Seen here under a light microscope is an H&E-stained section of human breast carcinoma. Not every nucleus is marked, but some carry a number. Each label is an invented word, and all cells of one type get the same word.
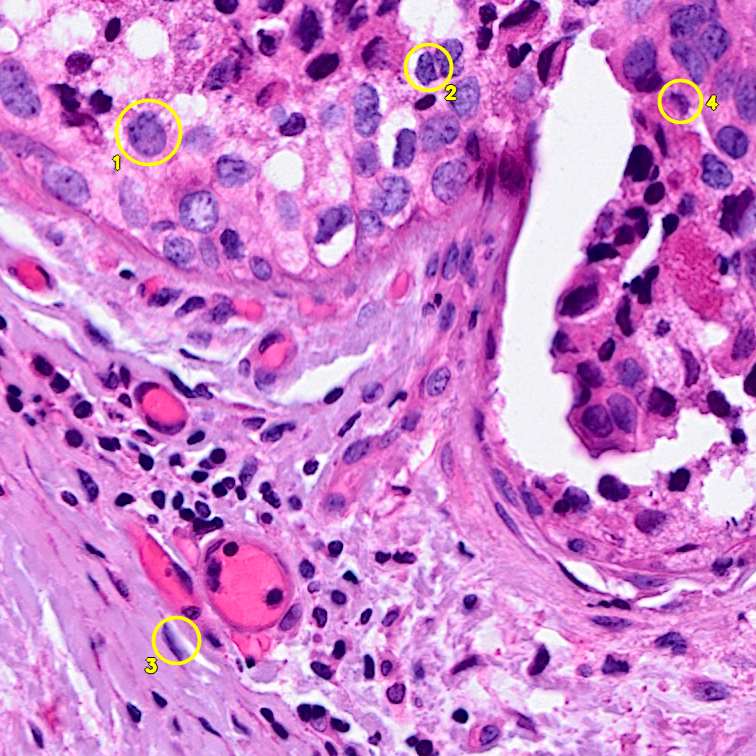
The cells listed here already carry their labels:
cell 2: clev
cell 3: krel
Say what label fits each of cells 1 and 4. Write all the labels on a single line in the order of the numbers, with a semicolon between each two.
clev; clev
